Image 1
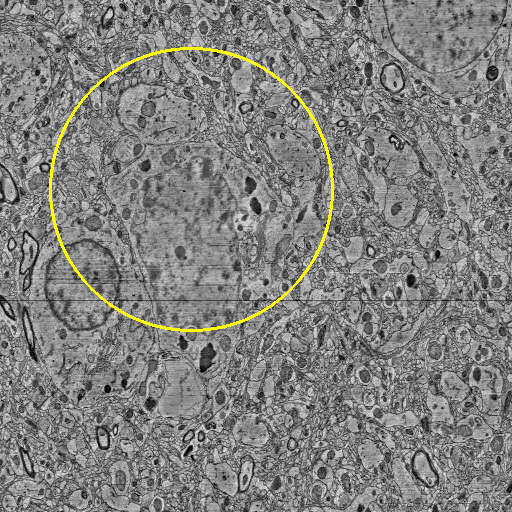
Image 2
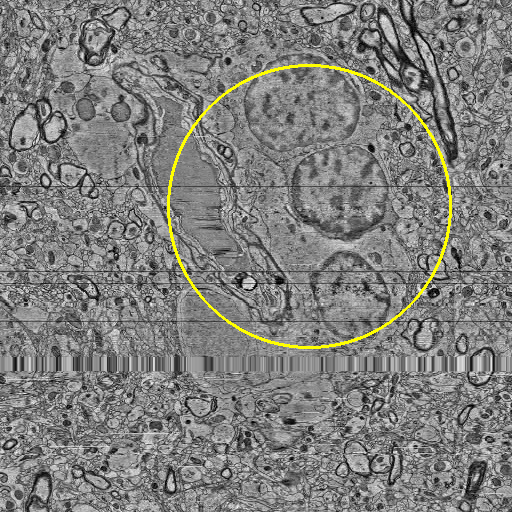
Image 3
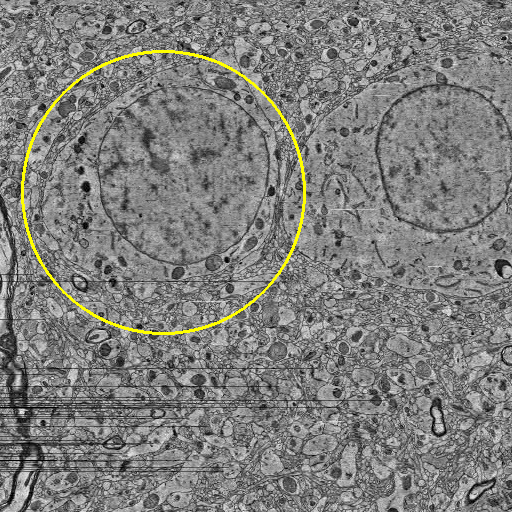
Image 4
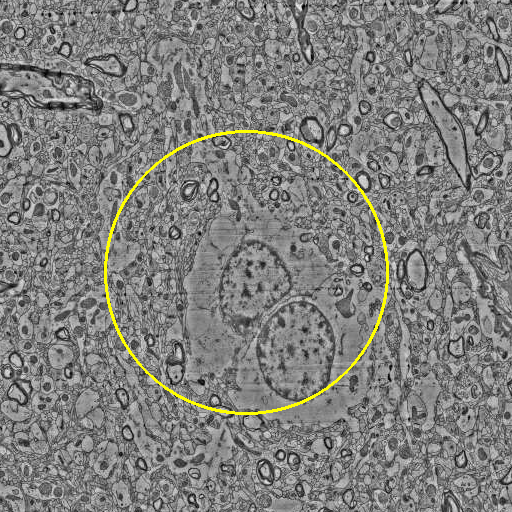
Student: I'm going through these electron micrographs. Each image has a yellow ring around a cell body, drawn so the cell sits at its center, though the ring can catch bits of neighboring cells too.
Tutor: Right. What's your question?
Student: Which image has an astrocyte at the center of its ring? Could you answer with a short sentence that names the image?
Image 4 shows it at the center of its ring.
